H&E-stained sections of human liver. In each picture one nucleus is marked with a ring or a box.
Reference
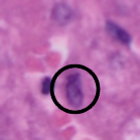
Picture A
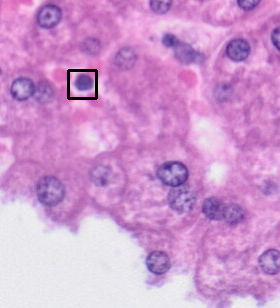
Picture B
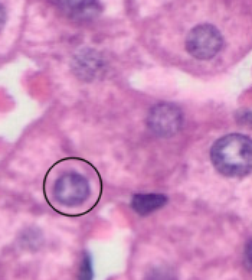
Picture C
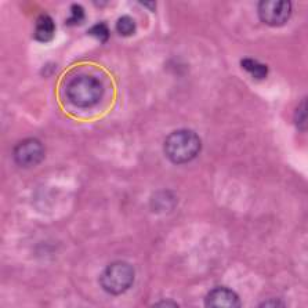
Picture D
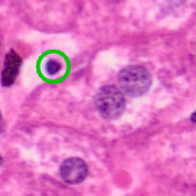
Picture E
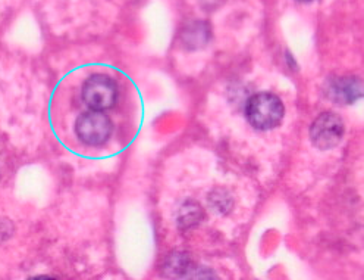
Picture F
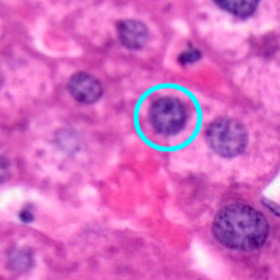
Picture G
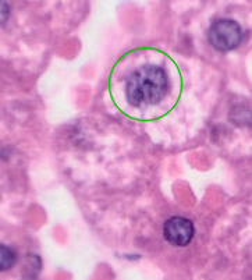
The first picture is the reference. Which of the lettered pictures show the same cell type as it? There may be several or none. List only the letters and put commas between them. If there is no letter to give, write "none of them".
none of them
